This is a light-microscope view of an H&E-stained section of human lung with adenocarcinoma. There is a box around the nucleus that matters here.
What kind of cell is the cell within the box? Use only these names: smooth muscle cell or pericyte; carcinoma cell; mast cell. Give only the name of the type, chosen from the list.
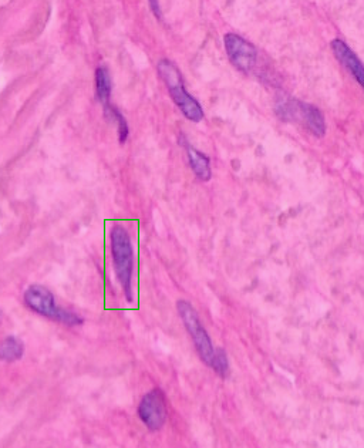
smooth muscle cell or pericyte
